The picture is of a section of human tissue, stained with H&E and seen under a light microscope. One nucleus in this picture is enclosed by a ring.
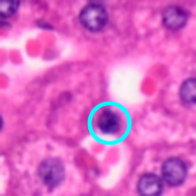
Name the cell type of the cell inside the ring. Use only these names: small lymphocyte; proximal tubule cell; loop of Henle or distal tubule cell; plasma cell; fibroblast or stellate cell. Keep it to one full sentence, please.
In short, the cell inside the ring on this section is a fibroblast or stellate cell.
